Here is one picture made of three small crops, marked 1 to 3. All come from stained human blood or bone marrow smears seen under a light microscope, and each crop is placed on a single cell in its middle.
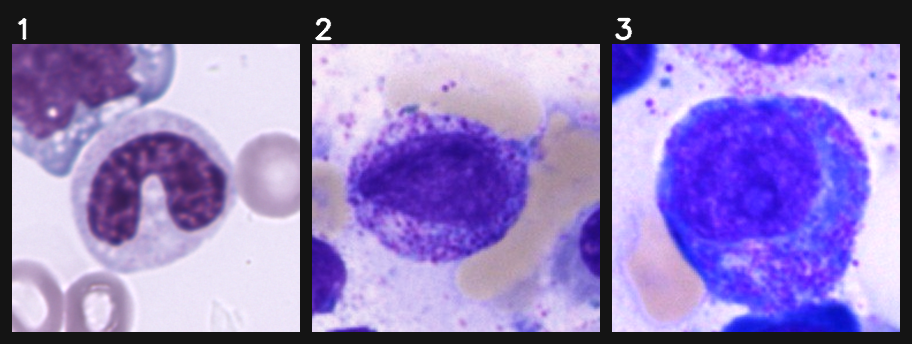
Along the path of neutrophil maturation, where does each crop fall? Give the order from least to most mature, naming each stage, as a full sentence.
Maturation proceeds in the order crop 3 (a promyelocyte), crop 2 (a myelocyte) and crop 1 (a band neutrophil).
